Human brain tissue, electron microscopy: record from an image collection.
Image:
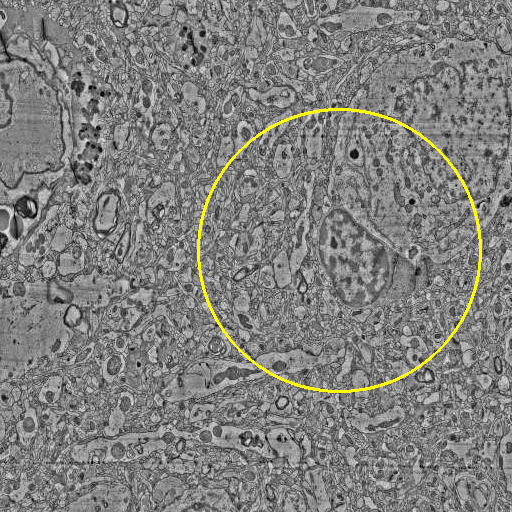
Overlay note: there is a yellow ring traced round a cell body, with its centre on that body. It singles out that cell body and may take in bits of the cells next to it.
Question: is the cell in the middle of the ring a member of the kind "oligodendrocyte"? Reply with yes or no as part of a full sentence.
Yes, the image's ringed cell, the one at the ring's centre, is a member of that kind.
